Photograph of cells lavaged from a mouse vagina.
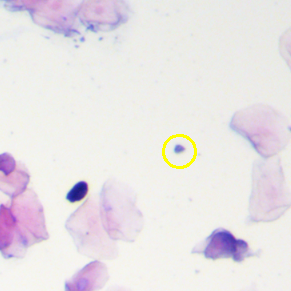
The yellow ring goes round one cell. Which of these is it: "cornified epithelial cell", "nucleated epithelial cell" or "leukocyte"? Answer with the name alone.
leukocyte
